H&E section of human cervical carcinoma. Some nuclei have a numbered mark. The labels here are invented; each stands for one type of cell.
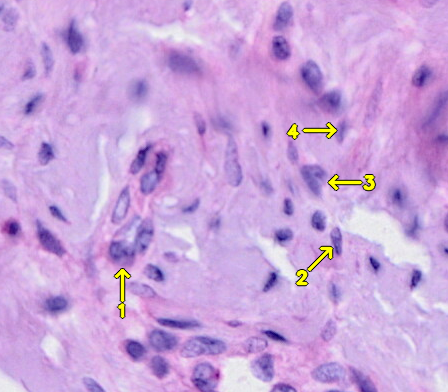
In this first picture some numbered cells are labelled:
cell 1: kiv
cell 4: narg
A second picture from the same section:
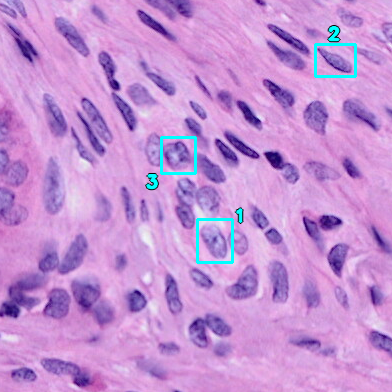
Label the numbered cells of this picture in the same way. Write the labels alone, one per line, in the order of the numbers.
kiv
narg
kiv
